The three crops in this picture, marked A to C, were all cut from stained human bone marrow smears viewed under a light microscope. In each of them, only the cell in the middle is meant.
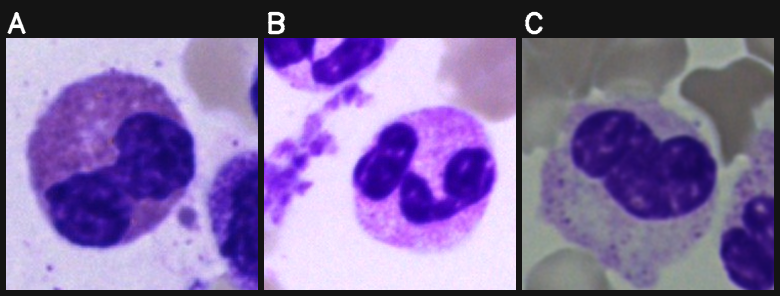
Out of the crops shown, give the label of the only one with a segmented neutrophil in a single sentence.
Selected crop: B, which is the one that shows a segmented neutrophil.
